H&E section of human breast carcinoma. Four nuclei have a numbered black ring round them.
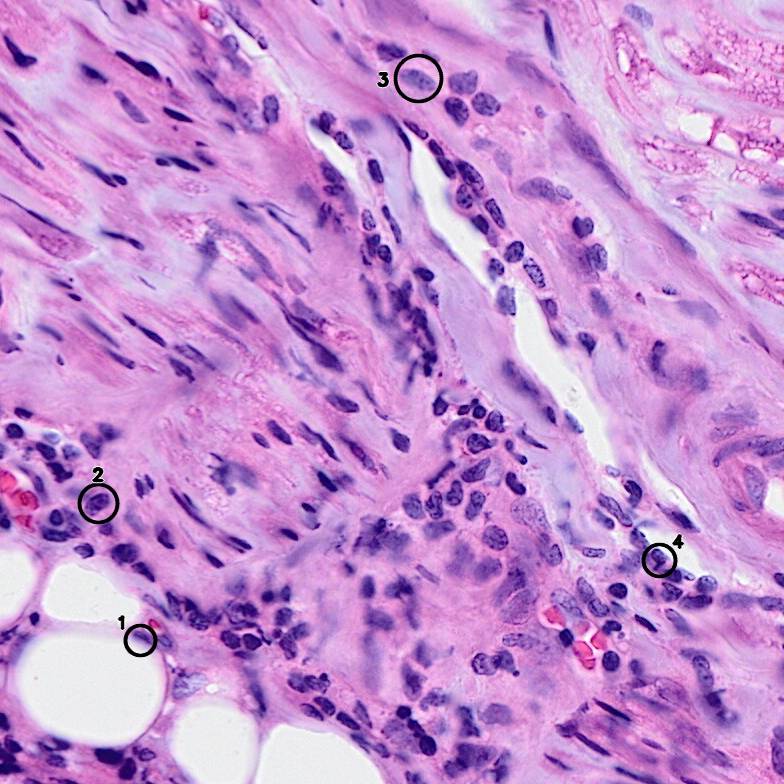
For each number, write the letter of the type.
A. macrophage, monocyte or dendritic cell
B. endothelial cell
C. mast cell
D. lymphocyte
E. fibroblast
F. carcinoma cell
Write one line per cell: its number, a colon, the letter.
1: B
2: D
3: C
4: D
